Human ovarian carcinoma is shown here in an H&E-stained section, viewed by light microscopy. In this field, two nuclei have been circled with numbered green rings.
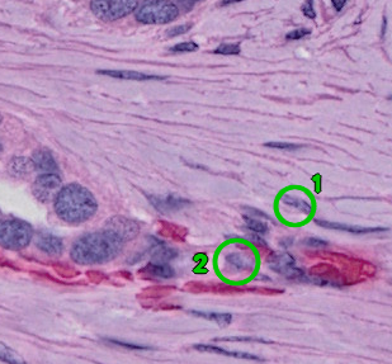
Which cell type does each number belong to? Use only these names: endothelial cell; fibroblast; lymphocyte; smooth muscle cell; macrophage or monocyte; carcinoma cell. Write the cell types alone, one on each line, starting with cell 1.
fibroblast
endothelial cell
